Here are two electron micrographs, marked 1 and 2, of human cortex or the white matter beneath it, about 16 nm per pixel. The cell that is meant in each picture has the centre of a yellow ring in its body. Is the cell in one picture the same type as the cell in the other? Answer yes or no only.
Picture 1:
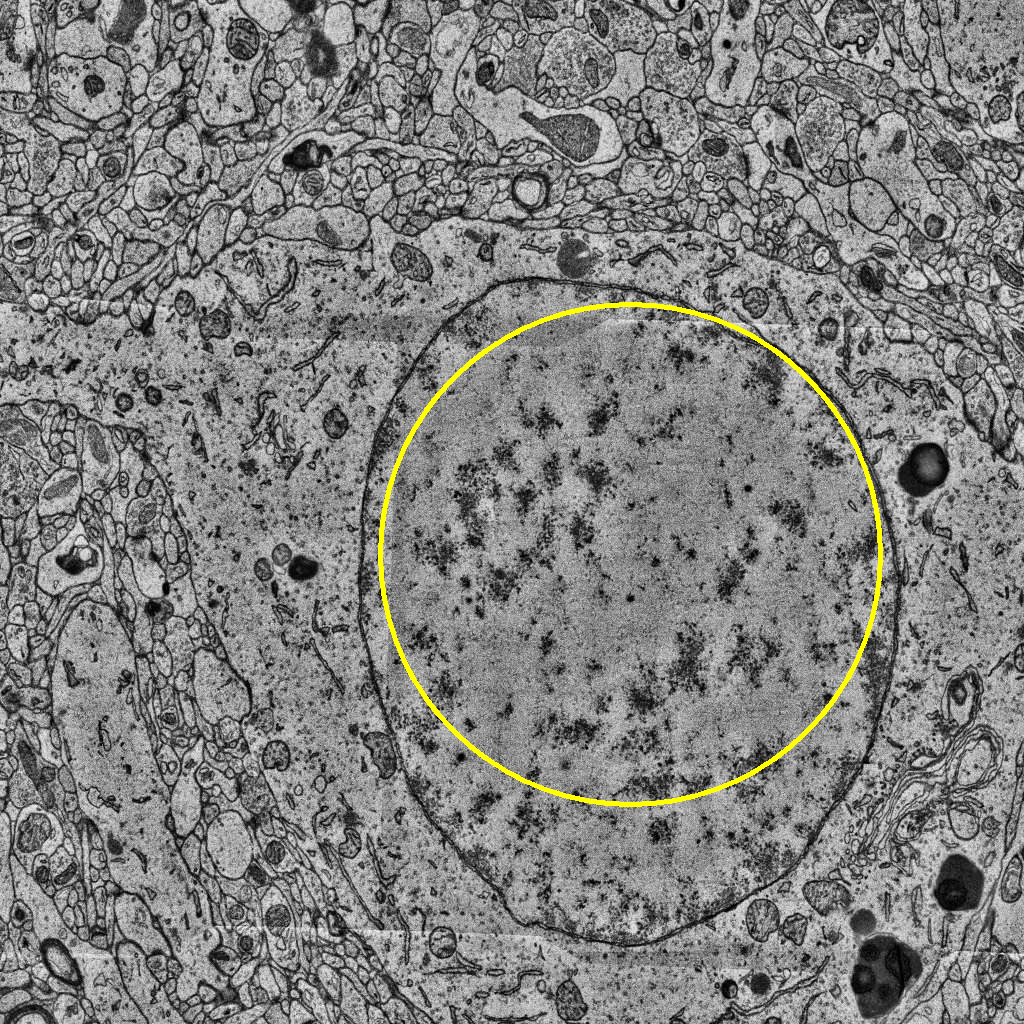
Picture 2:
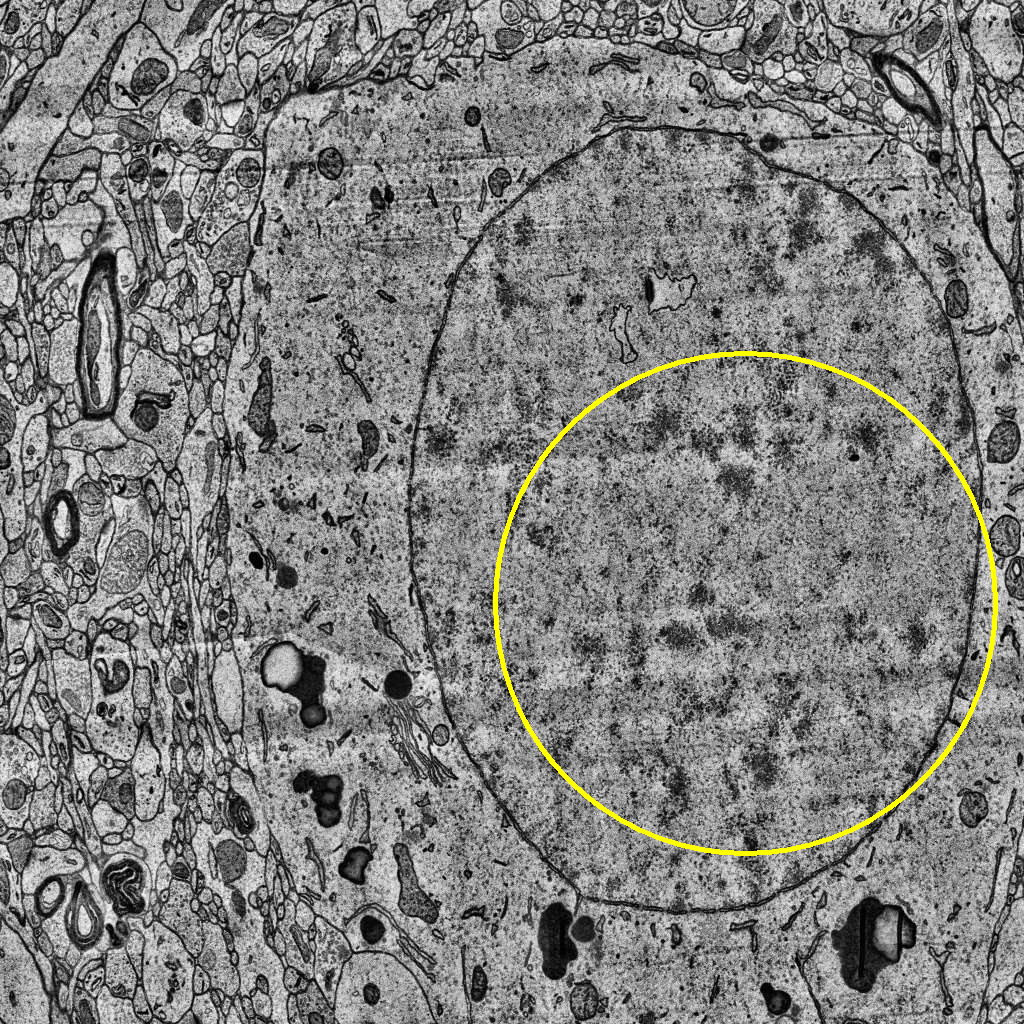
yes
